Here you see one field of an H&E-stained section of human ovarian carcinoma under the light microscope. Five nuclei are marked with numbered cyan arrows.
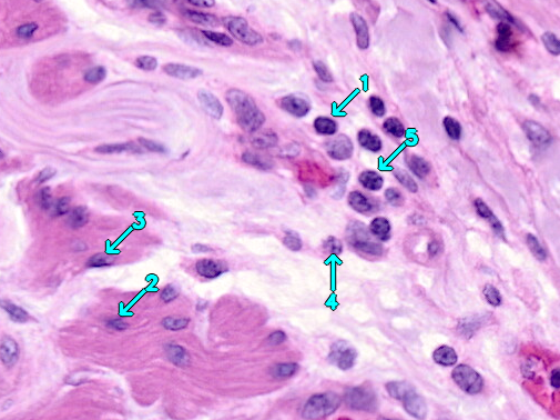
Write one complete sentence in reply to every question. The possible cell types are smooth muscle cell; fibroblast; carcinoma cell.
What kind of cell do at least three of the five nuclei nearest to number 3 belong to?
Most of the five nuclei nearest to number 3 are those of smooth muscle cells.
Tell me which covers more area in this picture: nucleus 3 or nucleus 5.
Of the two, number 5 is bigger and takes up about 1.5 times the area of number 3.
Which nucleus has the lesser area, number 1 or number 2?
Number 2 is smaller, since number 1 takes up about 1.5 times as much area.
